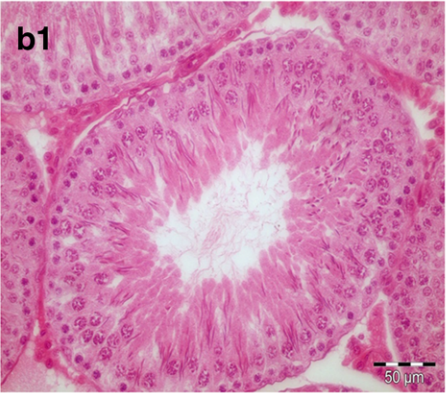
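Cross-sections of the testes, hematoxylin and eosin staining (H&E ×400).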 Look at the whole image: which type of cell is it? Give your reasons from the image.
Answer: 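Elongated dark heads gathered in bundles near the lumen. Pale threadlike tails fill the central lumen.
Hence: mature spermatids.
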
